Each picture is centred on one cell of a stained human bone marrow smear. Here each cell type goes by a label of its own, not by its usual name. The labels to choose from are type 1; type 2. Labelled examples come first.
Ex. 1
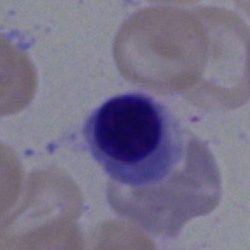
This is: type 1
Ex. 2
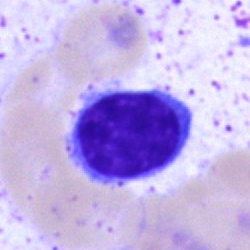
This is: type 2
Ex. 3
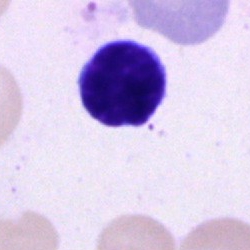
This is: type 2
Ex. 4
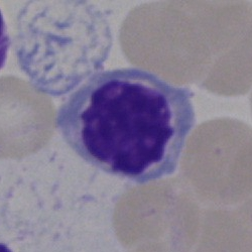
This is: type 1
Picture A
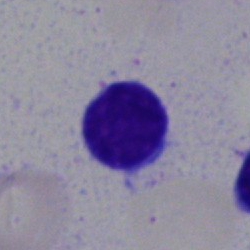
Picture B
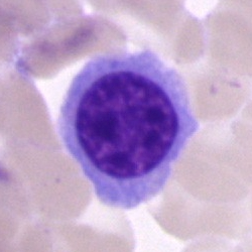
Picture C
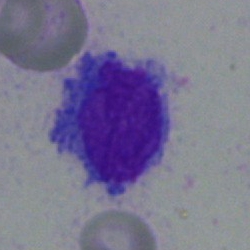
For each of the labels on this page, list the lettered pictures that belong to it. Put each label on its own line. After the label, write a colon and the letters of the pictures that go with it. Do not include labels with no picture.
type 1: B
type 2: A, C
